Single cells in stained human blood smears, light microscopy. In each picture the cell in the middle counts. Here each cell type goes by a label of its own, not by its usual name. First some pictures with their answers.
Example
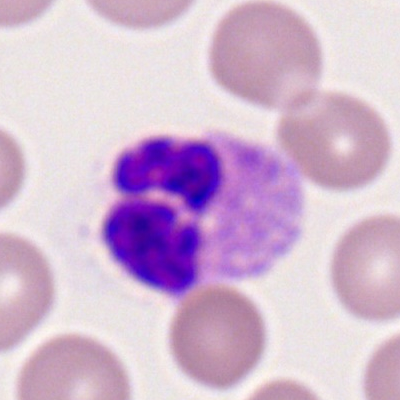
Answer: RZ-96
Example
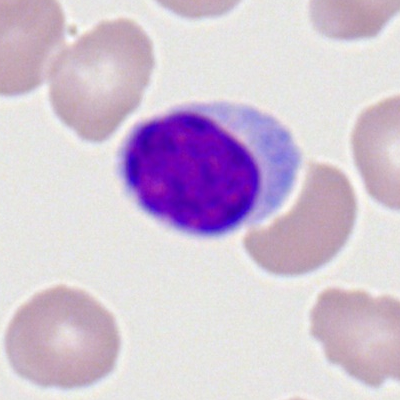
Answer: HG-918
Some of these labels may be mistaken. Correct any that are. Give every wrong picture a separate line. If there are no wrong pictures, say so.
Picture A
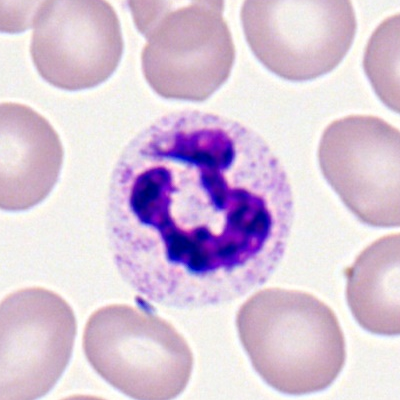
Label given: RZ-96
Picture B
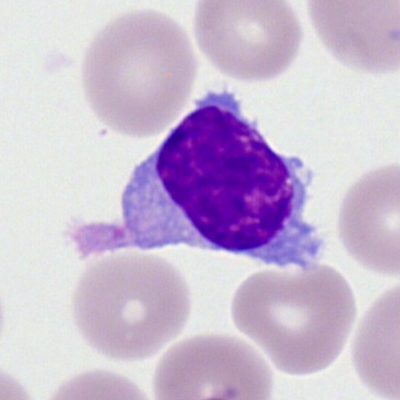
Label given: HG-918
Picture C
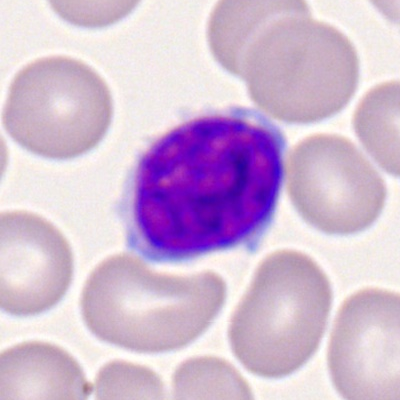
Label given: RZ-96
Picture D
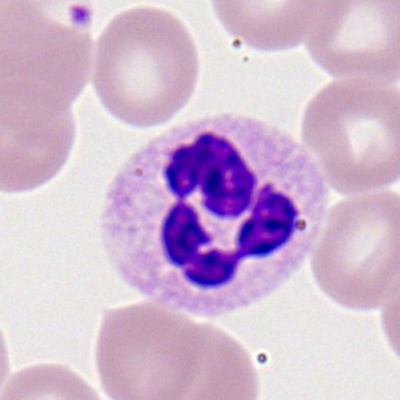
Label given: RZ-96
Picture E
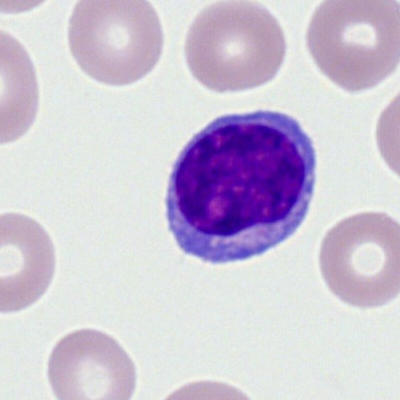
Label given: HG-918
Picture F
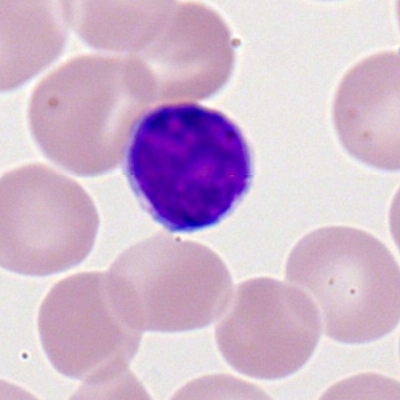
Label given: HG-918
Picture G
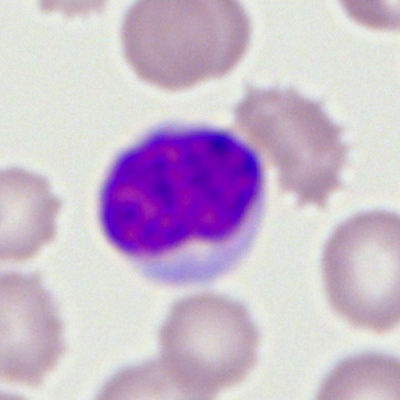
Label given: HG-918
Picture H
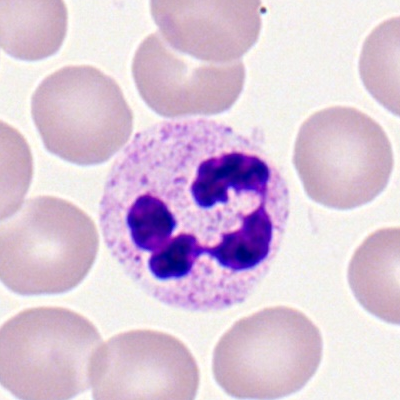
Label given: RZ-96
C should be HG-918, not RZ-96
